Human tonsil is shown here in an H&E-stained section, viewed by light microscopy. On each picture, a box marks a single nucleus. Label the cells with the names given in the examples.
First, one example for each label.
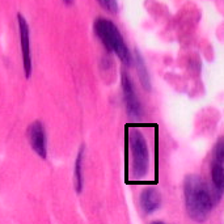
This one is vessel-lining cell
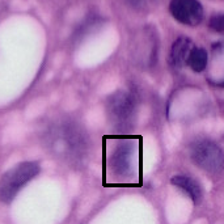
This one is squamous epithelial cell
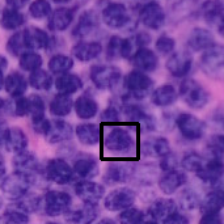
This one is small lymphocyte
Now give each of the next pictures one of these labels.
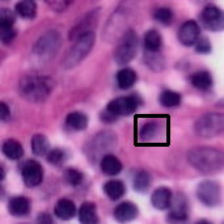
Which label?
vessel-lining cell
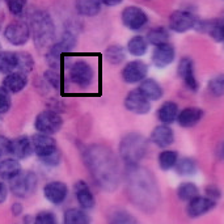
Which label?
vessel-lining cell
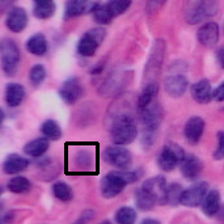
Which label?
vessel-lining cell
